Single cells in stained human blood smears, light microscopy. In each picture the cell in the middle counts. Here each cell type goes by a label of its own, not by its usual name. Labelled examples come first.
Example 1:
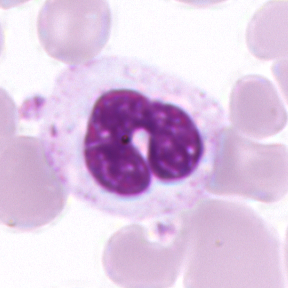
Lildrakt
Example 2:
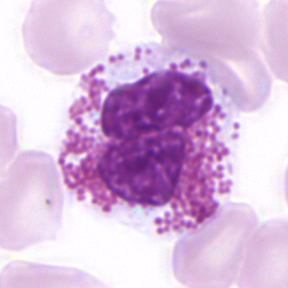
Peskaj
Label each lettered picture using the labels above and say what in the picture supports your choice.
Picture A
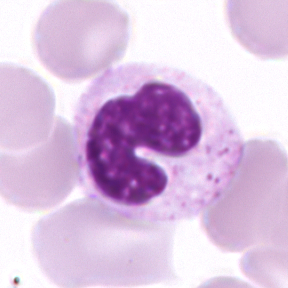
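Label: Lildrakt. Fine pink-violet granules are scattered through the cytoplasm.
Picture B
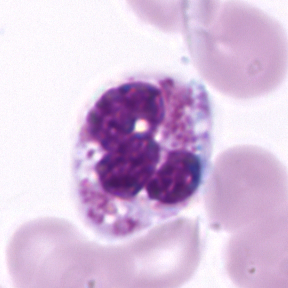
Label: Peskaj. The cytoplasm holds scattered coarse pinkish-purple granules.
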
